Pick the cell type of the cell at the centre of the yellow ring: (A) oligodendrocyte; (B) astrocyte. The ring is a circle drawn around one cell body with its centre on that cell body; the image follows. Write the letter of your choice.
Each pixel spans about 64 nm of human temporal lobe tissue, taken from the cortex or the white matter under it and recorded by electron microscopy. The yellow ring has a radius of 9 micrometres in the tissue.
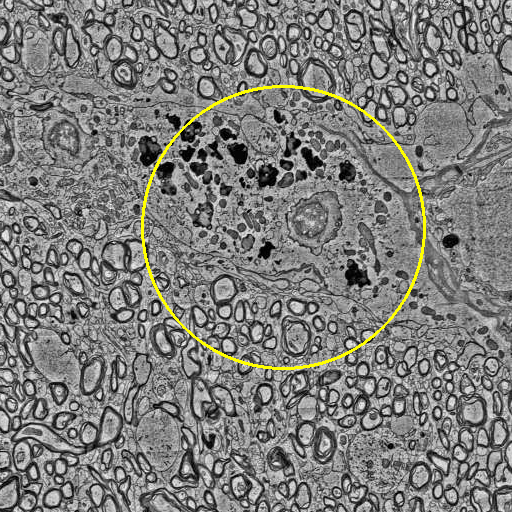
A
